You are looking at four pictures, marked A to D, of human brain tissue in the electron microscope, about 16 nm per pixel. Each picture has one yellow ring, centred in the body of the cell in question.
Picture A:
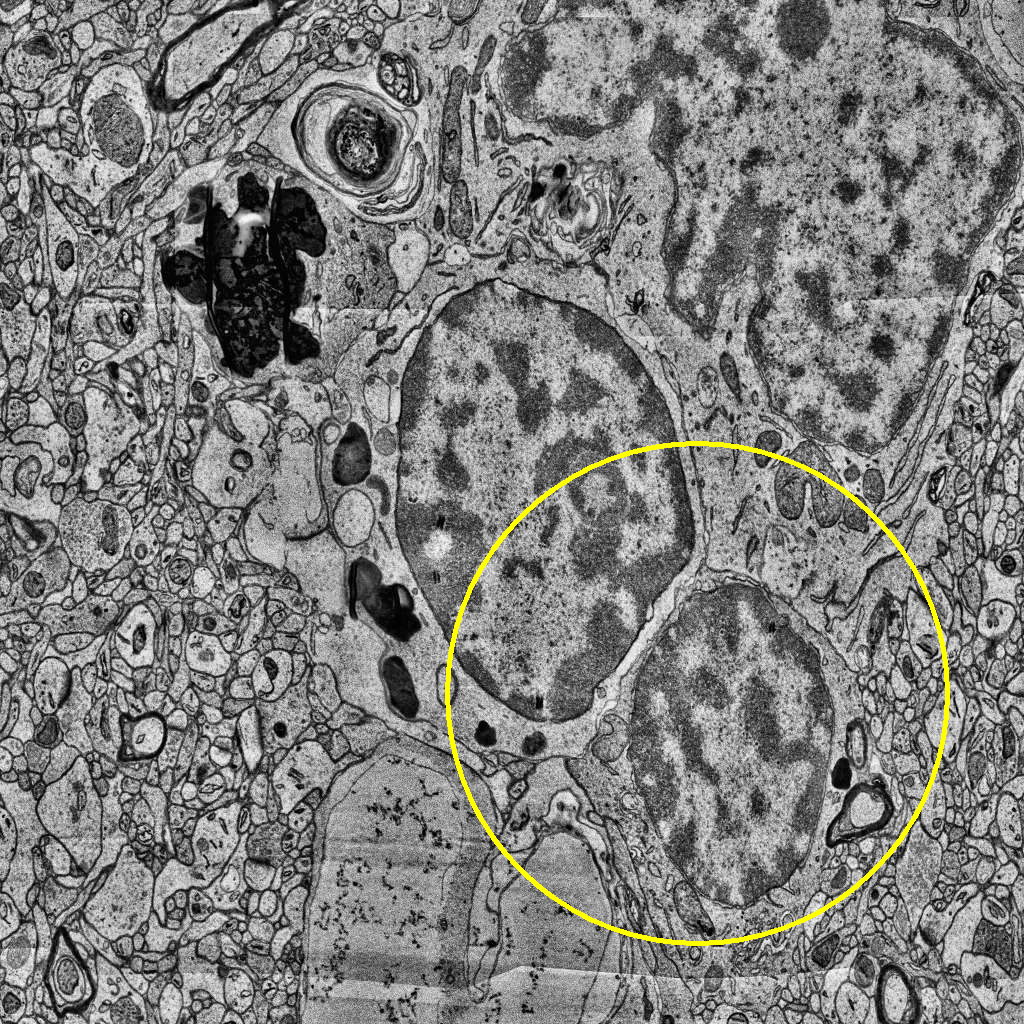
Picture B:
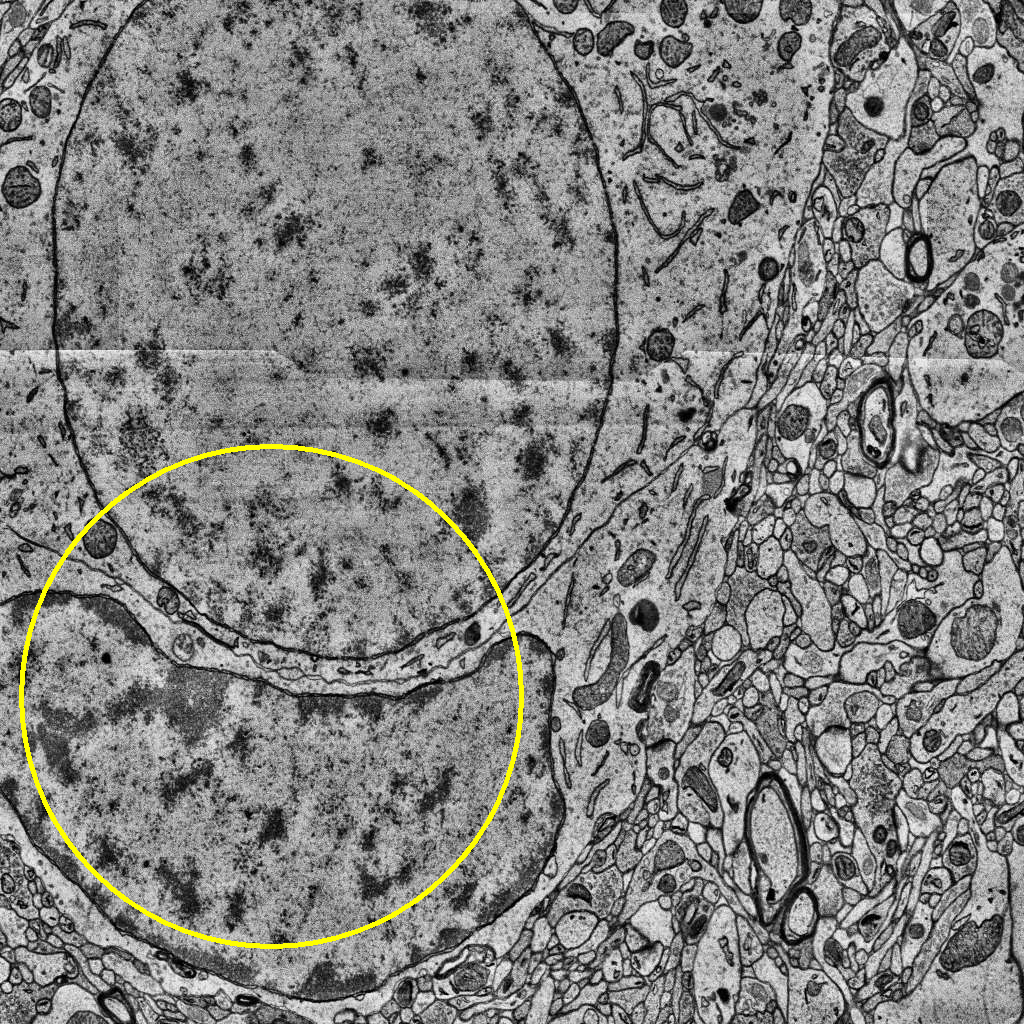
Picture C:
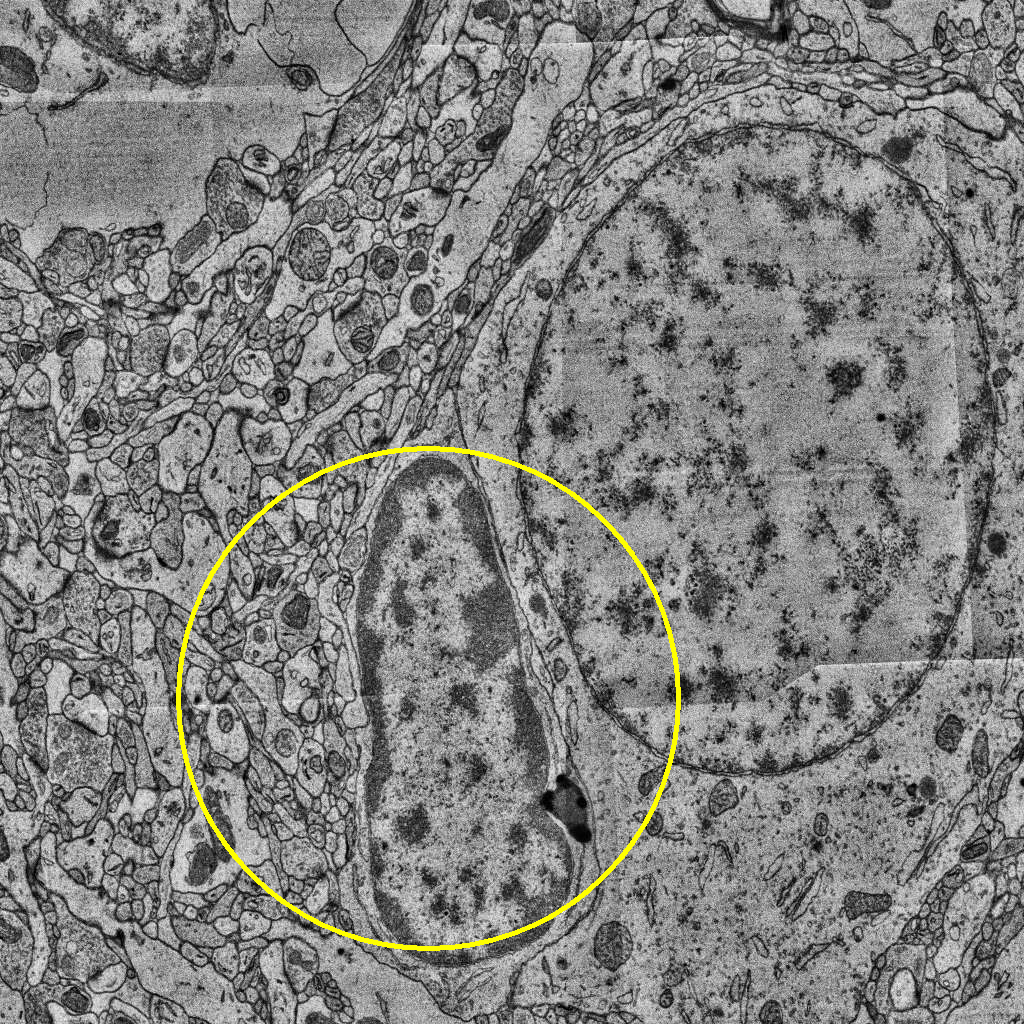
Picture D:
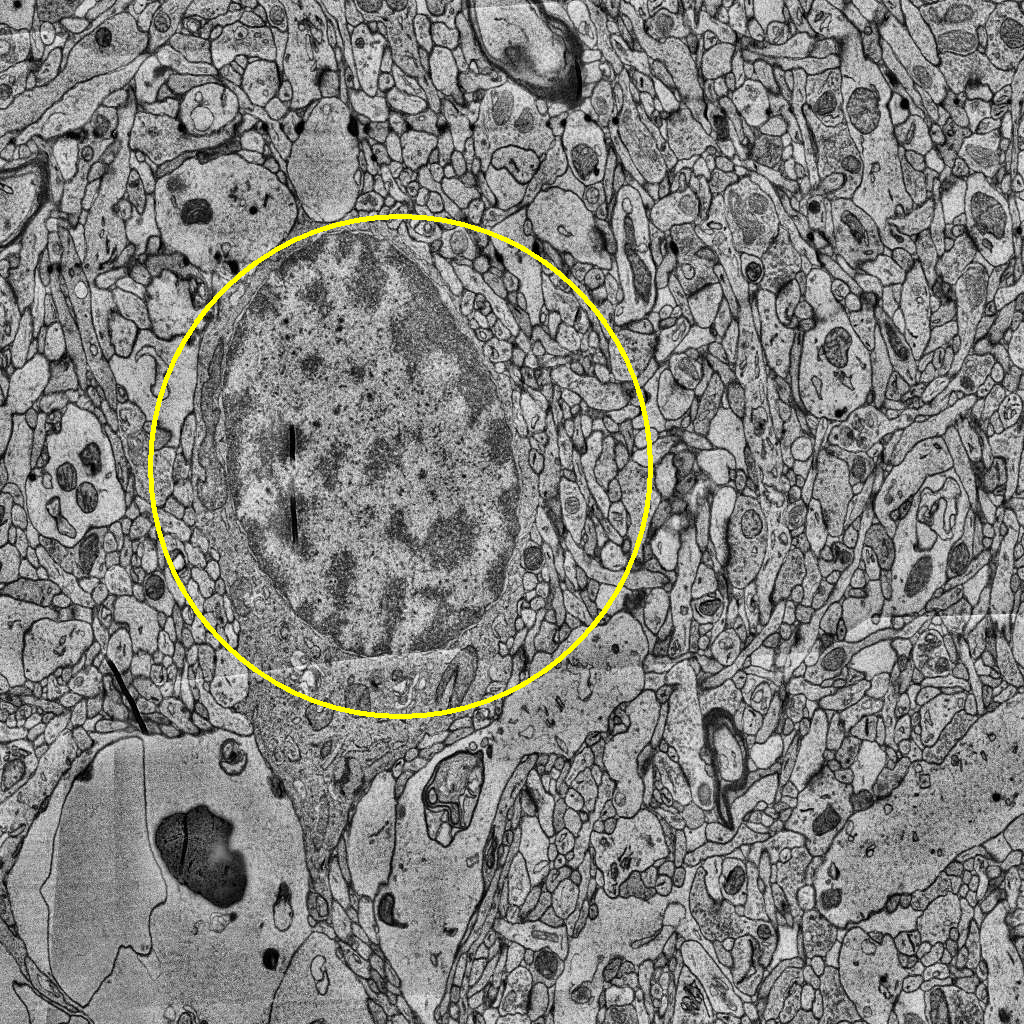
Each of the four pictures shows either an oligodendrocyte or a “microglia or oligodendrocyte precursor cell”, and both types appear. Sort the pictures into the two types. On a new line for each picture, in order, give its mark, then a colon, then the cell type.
A: oligodendrocyte
B: microglia or oligodendrocyte precursor cell
C: microglia or oligodendrocyte precursor cell
D: oligodendrocyte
